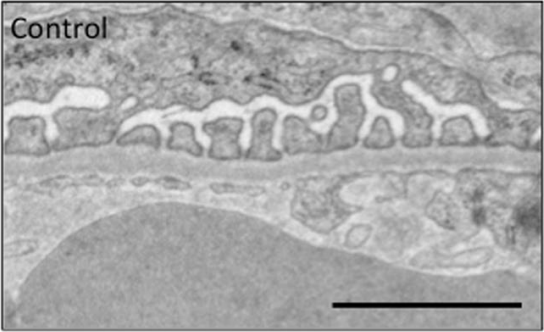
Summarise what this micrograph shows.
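Glomerular filtration barrier at high magnification. A podocyte cell body with granular cytoplasm lies at the top and sends a row of regularly spaced foot processes down onto a continuous, homogeneous grey basement membrane. Narrow filtration slits separate adjacent foot processes, giving an even, comb-like profile. Beneath the basement membrane lies a thin endothelial layer, and below that a large uniformly grey area in the capillary lumen. The foot processes are discrete rather than flattened or fused, and the basement membrane is of even thickness without splitting.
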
